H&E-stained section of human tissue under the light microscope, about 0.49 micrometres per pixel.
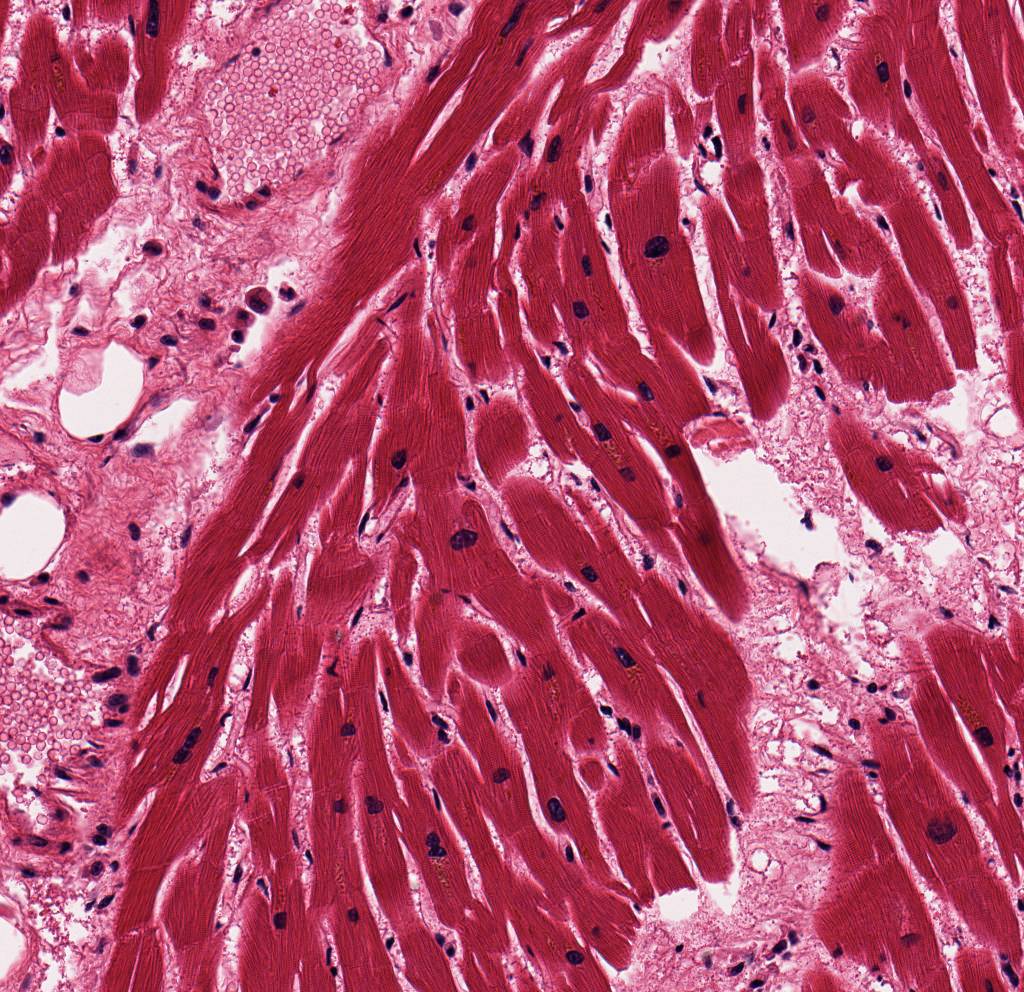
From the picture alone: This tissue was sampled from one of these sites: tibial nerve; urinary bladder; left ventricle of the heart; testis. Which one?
left ventricle of the heart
